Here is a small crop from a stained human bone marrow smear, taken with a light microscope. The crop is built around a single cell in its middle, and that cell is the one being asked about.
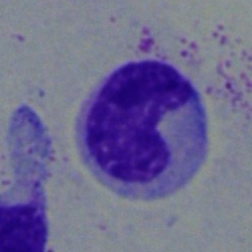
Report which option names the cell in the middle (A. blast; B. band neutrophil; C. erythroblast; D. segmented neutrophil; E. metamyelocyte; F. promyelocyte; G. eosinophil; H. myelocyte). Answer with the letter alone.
E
